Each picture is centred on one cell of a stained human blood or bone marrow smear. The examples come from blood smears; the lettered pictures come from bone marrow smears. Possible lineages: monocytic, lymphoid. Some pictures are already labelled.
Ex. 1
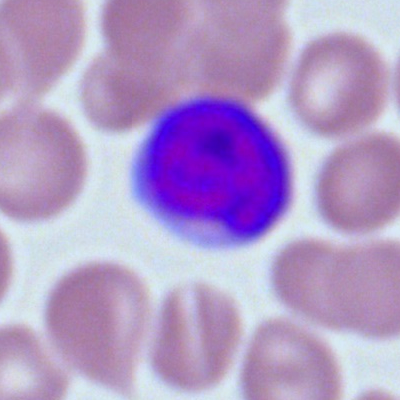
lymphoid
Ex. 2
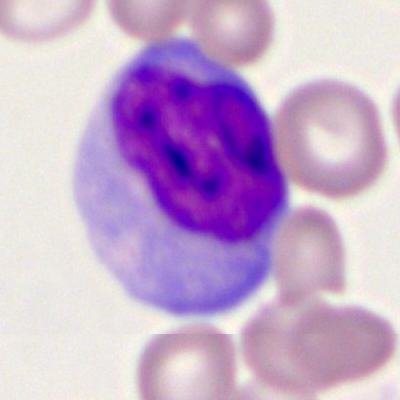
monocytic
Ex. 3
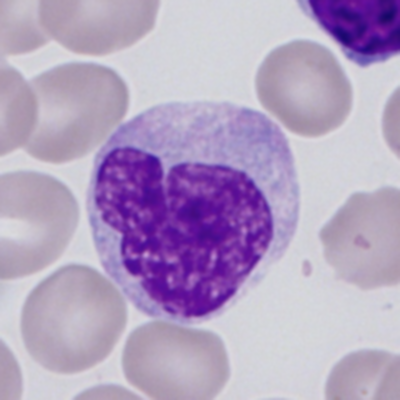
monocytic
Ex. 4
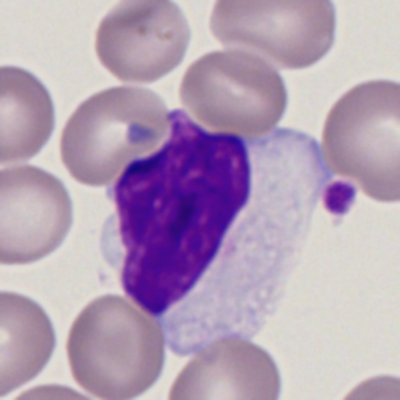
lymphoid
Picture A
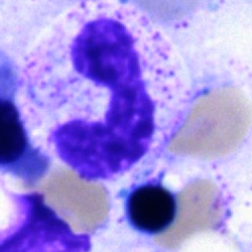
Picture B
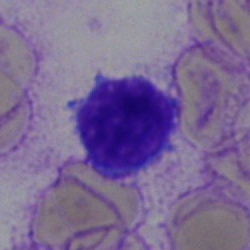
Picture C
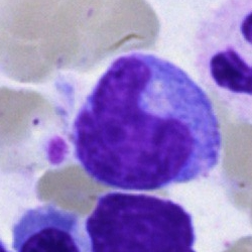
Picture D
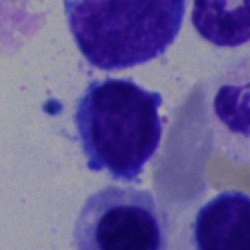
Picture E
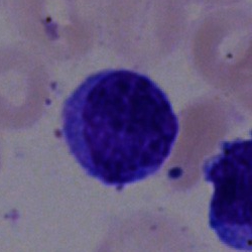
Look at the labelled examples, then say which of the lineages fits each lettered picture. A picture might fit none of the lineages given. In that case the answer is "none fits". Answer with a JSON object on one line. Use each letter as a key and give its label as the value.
{"A": "none fits", "B": "lymphoid", "C": "monocytic", "D": "lymphoid", "E": "lymphoid"}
